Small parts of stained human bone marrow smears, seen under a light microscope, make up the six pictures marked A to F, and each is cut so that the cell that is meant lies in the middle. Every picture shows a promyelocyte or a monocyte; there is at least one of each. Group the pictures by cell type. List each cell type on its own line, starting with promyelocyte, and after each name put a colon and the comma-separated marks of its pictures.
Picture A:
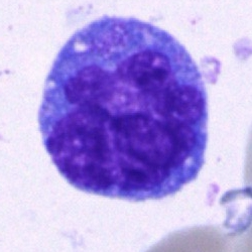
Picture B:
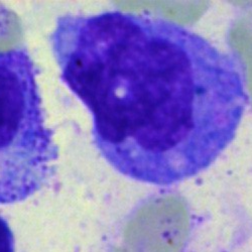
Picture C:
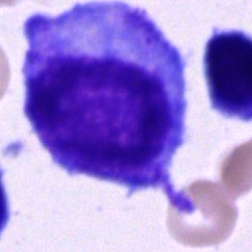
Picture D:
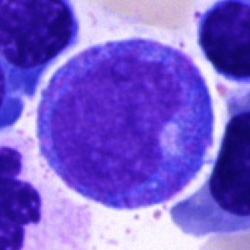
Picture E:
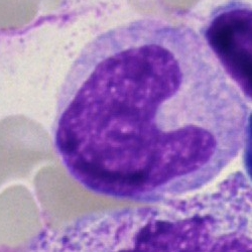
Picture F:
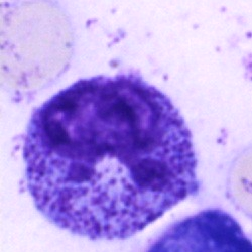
promyelocyte: C, D, F
monocyte: A, B, E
